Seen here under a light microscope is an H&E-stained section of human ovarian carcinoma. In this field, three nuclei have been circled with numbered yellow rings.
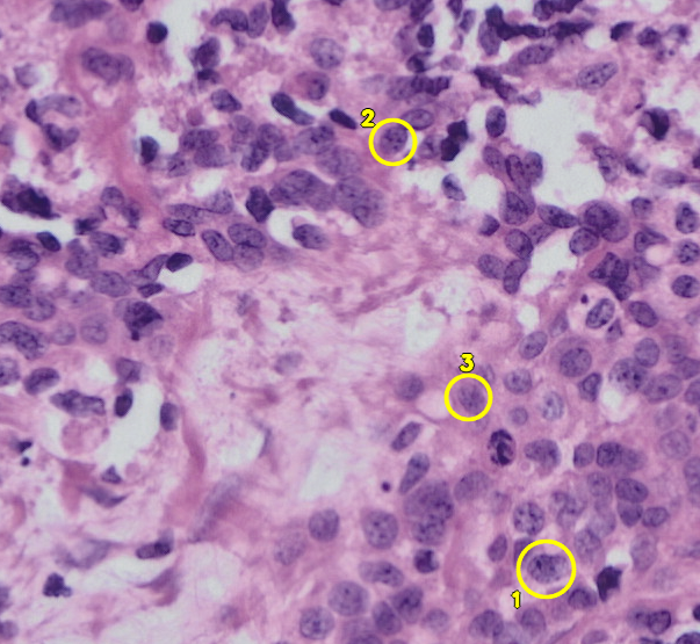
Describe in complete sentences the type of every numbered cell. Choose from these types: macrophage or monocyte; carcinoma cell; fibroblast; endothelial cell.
Cell 1 is a macrophage or monocyte. Cells 2 and 3 are carcinoma cells.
